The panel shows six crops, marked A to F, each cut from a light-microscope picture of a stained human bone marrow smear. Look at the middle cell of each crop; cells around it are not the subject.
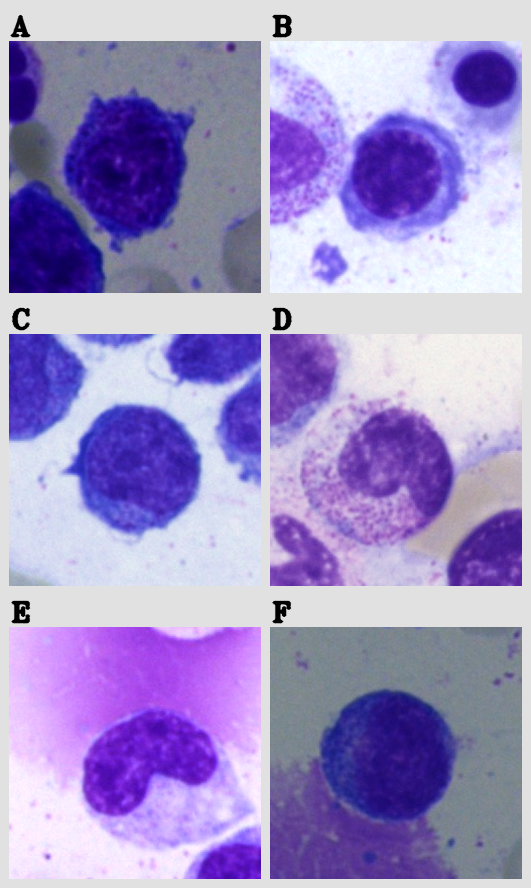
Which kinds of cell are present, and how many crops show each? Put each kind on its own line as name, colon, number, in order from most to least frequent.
blast: 3
metamyelocyte: 2
normoblast: 1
